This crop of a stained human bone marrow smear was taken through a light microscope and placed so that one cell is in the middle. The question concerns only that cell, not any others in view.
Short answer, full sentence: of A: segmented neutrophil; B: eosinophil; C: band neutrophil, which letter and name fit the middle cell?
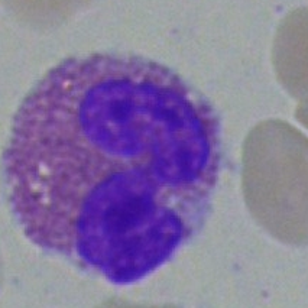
Option B is the correct option, with the middle cell being an eosinophil.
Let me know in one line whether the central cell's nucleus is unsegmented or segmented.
You can count two or more lobes in this nucleus.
